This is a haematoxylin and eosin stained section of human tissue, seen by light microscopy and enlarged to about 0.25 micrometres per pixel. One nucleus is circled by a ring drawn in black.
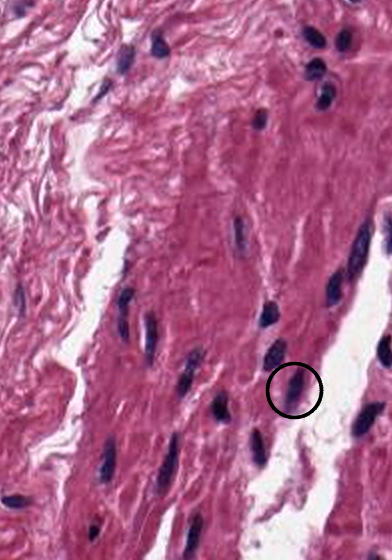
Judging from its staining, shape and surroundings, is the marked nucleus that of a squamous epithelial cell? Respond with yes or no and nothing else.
no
